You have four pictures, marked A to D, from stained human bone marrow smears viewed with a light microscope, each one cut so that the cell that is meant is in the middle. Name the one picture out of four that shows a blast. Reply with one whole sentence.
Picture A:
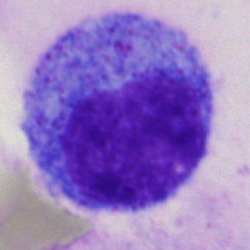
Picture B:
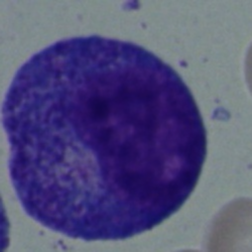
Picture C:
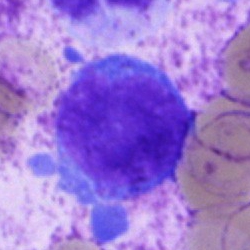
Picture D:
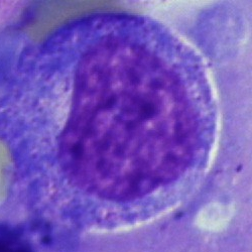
Picture C is the one that shows the blast.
